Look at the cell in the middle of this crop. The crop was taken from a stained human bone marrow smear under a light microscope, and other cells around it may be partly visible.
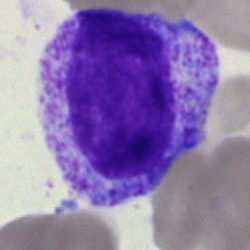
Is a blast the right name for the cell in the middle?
no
